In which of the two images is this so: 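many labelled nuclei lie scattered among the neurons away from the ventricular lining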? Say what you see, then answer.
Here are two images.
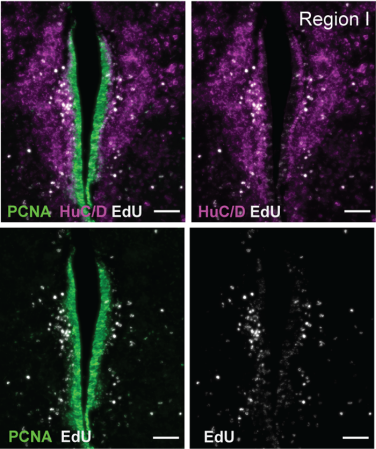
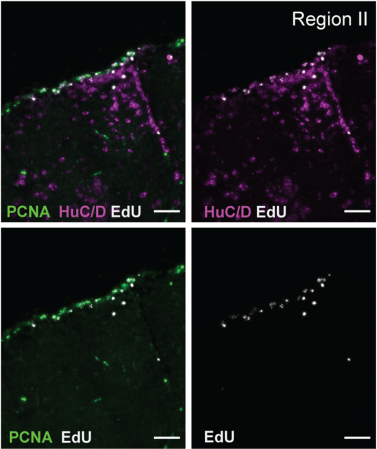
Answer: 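Second image: white dots are mostly confined to a line along the green surface band, with few in the magenta tissue beyond. First image: numerous white dots are scattered through the magenta tissue on both sides of the green lining. On this evidence: the first image.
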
